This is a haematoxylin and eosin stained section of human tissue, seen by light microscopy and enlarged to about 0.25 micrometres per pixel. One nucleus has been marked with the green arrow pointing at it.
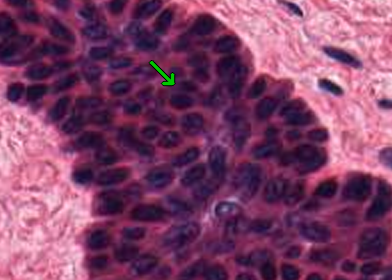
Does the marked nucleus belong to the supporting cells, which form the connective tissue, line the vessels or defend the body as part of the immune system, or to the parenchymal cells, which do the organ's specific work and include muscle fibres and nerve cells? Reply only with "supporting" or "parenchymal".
parenchymal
